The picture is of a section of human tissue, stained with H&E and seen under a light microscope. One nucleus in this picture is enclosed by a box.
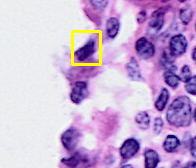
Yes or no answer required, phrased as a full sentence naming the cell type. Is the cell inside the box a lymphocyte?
Yes, the cell inside the box is a lymphocyte in this section.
